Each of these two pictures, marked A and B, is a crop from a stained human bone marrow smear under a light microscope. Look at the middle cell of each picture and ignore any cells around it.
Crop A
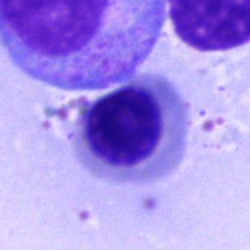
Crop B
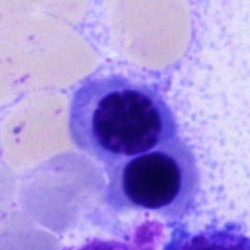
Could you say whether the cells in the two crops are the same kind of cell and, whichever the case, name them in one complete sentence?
Yes, both crops show normoblasts, the one and the other.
